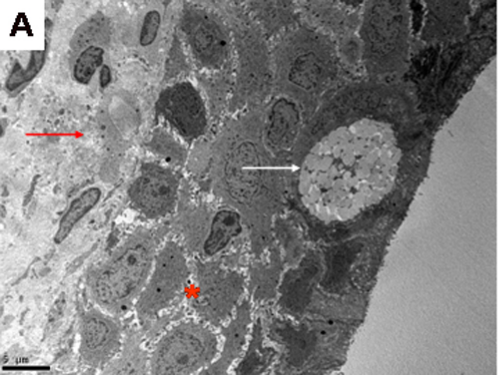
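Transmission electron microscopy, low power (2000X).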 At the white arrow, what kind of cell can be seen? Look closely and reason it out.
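A large rounded cell lies within the dark epithelial layer near its surface. Its cytoplasm is filled with many pale, closely packed granules. A rim of dark cytoplasm surrounds the pale granule mass. On this evidence: goblet cell.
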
